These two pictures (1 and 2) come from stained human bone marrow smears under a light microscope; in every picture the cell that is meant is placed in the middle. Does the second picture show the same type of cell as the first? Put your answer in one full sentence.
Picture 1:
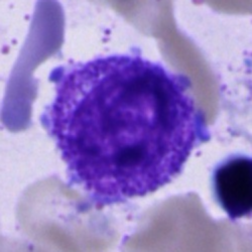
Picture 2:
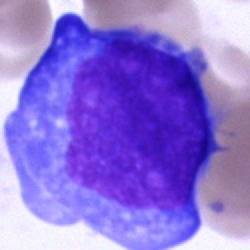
No. Picture 1 shows a promyelocyte, but picture 2 shows a blast.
